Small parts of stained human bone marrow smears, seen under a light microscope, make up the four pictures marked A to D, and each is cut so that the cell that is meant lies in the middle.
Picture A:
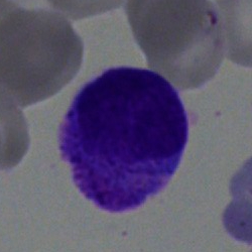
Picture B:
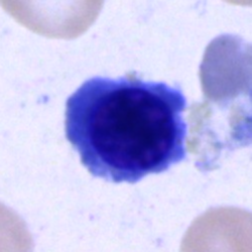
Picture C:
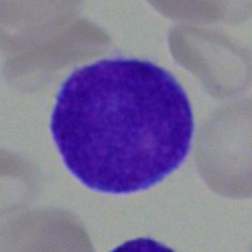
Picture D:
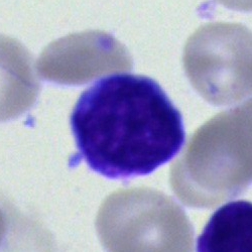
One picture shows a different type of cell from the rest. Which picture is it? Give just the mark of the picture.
B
